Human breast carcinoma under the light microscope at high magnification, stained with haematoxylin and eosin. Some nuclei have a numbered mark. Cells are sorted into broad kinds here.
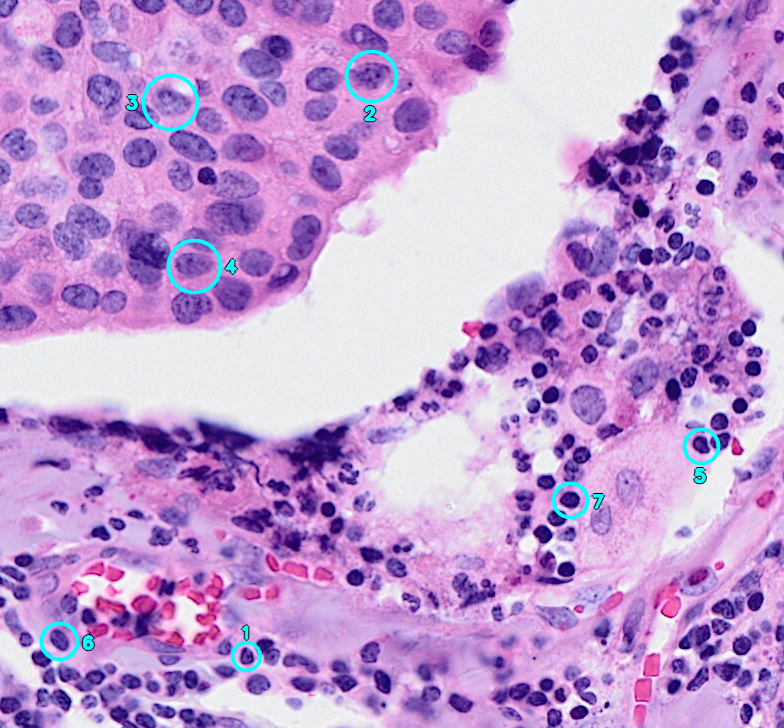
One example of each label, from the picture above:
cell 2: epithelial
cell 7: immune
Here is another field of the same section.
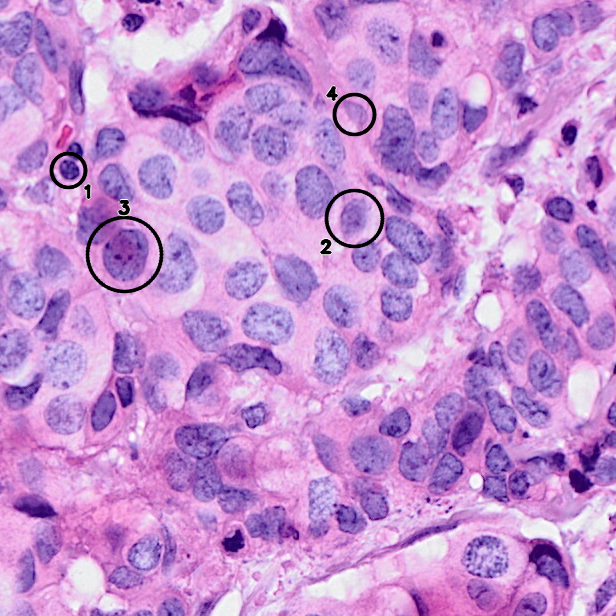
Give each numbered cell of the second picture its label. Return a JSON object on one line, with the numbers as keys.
{"1": "immune", "2": "epithelial", "3": "epithelial", "4": "epithelial"}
